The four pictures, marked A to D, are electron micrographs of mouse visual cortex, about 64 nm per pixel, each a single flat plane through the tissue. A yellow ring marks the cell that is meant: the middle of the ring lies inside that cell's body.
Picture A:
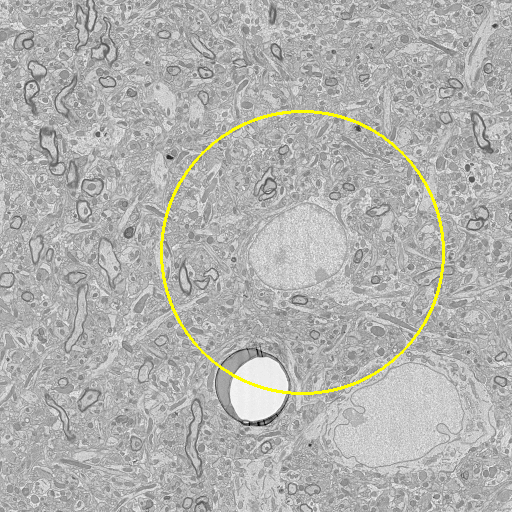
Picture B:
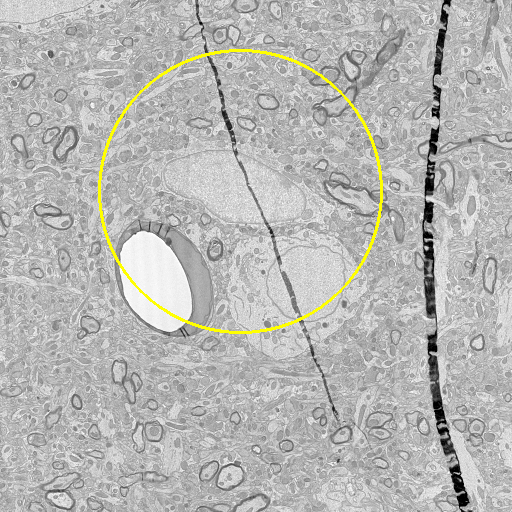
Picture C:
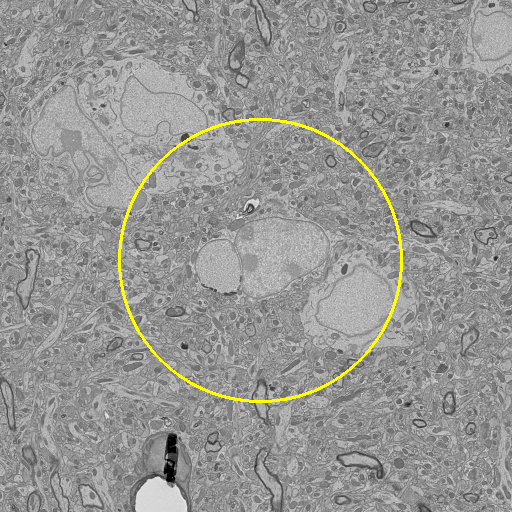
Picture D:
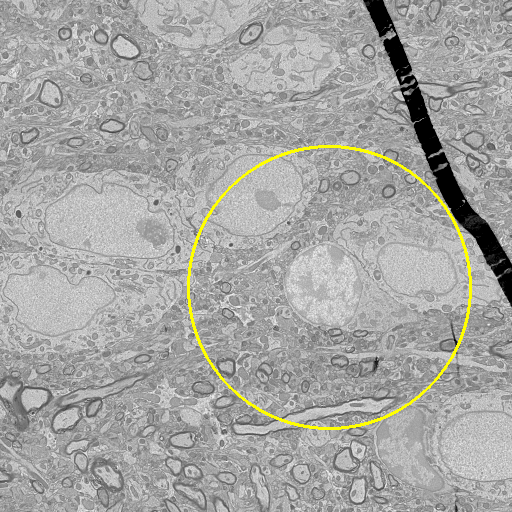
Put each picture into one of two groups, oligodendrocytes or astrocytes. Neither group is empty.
Picture D shows an oligodendrocyte, and pictures A, B and C show astrocytes.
